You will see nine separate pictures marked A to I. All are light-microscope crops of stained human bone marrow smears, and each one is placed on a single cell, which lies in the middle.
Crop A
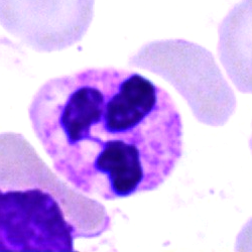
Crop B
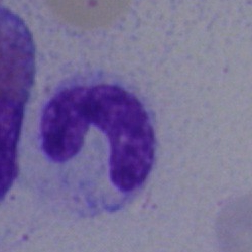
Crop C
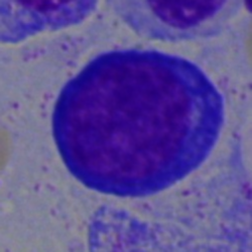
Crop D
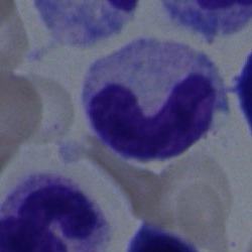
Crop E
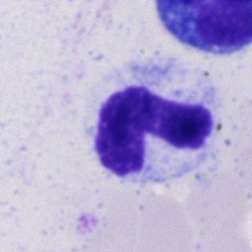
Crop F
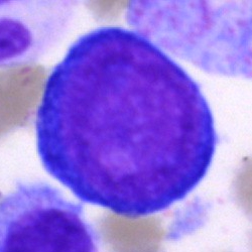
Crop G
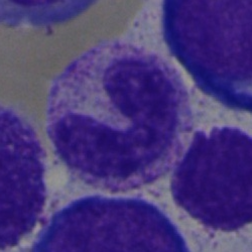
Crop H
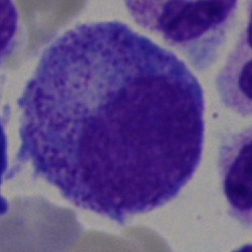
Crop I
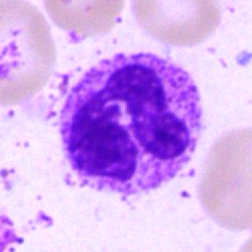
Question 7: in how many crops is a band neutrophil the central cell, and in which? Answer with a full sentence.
The band neutrophils turn up in four crops: B, D, E and G.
